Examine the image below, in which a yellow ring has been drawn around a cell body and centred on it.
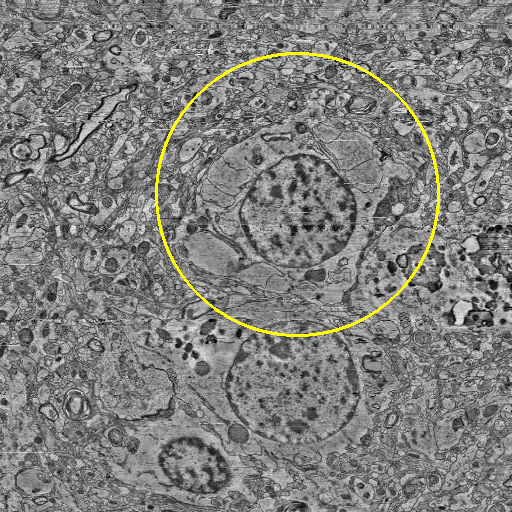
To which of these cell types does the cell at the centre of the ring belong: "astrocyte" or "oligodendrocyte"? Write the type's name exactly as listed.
astrocyte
